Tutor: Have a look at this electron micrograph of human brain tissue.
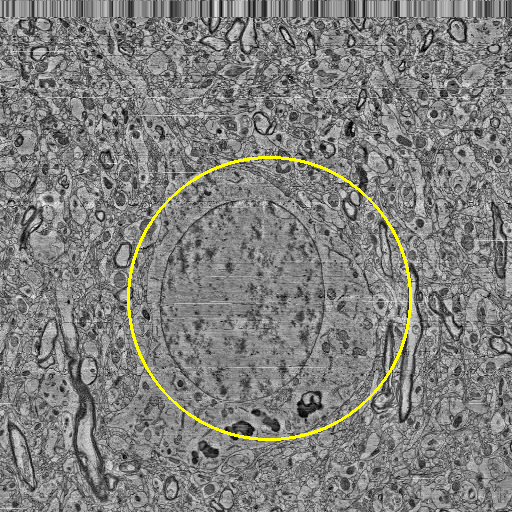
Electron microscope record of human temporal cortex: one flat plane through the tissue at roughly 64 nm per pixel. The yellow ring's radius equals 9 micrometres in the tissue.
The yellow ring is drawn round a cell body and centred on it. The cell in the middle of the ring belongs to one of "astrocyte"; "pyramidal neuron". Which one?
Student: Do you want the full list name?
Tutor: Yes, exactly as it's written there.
pyramidal neuron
